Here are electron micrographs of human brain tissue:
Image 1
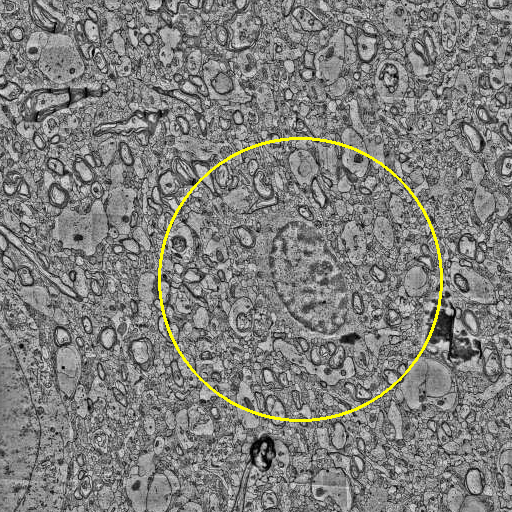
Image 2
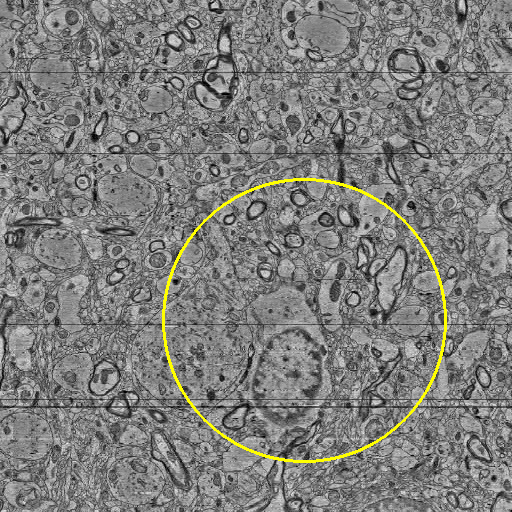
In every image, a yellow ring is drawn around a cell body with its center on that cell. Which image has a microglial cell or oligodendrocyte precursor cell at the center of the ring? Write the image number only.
2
